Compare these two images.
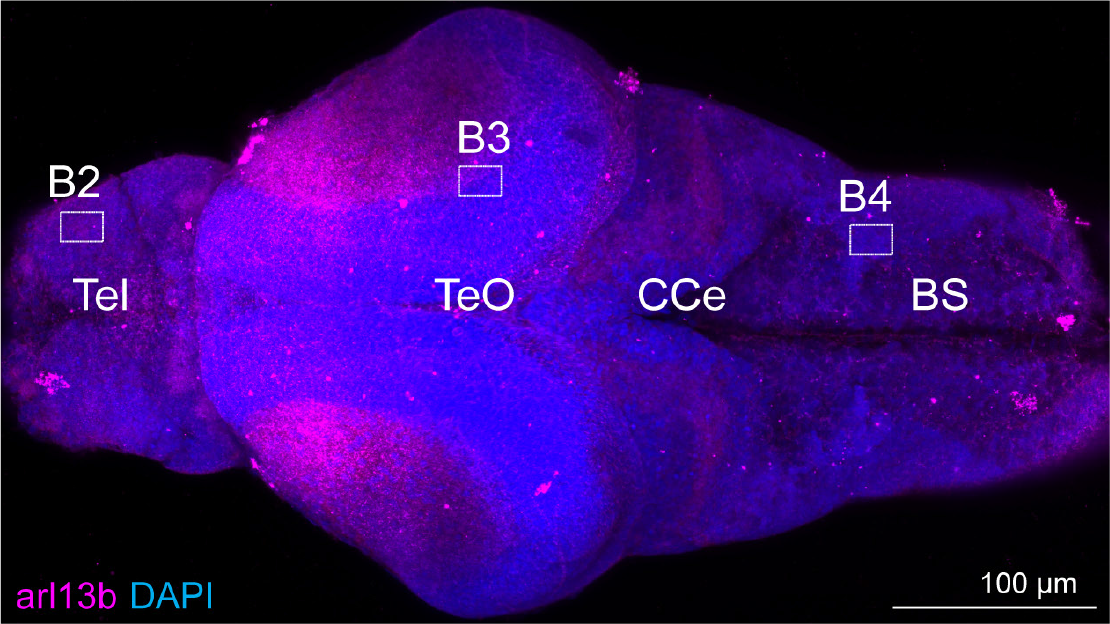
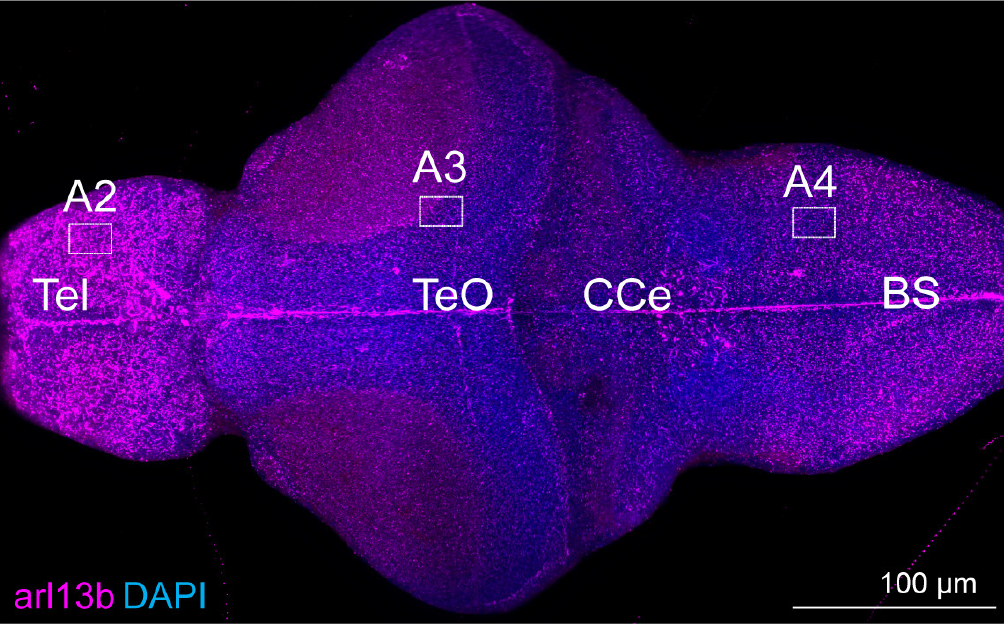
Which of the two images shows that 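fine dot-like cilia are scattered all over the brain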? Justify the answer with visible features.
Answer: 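The second image. First image: the magenta staining is smooth and diffuse, without a dense scatter of fine dots. Second image: countless fine magenta dots cover all brain regions.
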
